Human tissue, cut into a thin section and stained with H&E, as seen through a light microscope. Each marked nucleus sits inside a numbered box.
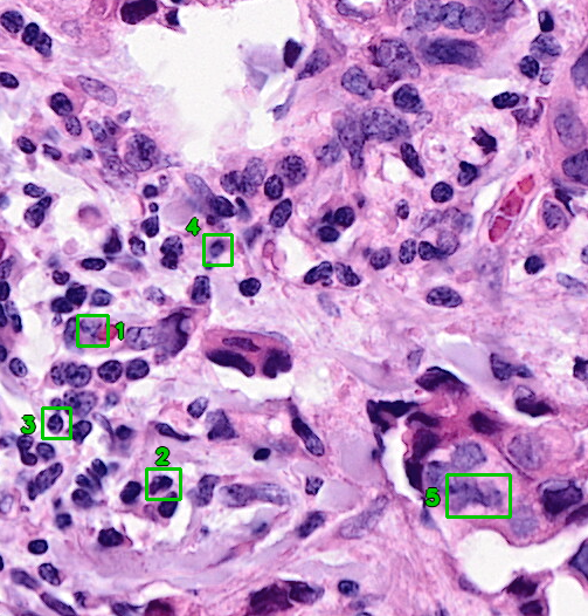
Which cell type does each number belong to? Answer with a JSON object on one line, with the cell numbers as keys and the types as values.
{"1": "endothelial cell", "2": "lymphocyte", "3": "lymphocyte", "4": "lymphocyte", "5": "carcinoma cell"}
